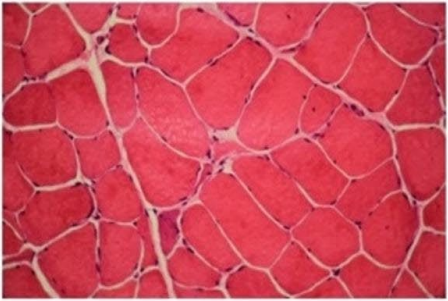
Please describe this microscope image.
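Skeletal muscle in cross-section with polygonal, eosinophilic fibers separated by thin pale endomysial spaces. The fibers vary clearly in size: large polygonal fibers lie next to smaller round and angular ones. Fiber cytoplasm is evenly pink with a faint fine texture. Small dark purple nuclei sit mostly at fiber peripheries, while some appear within the fiber interior rather than under the membrane. A wider band of pale connective tissue crosses the field diagonally. No inflammatory infiltrate is evident.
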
